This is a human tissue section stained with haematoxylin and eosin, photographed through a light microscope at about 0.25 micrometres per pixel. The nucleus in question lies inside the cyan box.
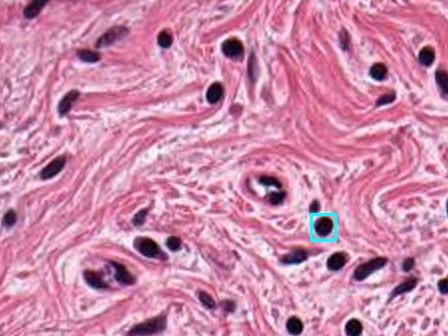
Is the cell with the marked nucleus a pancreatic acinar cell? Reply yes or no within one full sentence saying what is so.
No, rather than a pancreatic acinar cell, it is a supporting cell that contains the marked nucleus.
